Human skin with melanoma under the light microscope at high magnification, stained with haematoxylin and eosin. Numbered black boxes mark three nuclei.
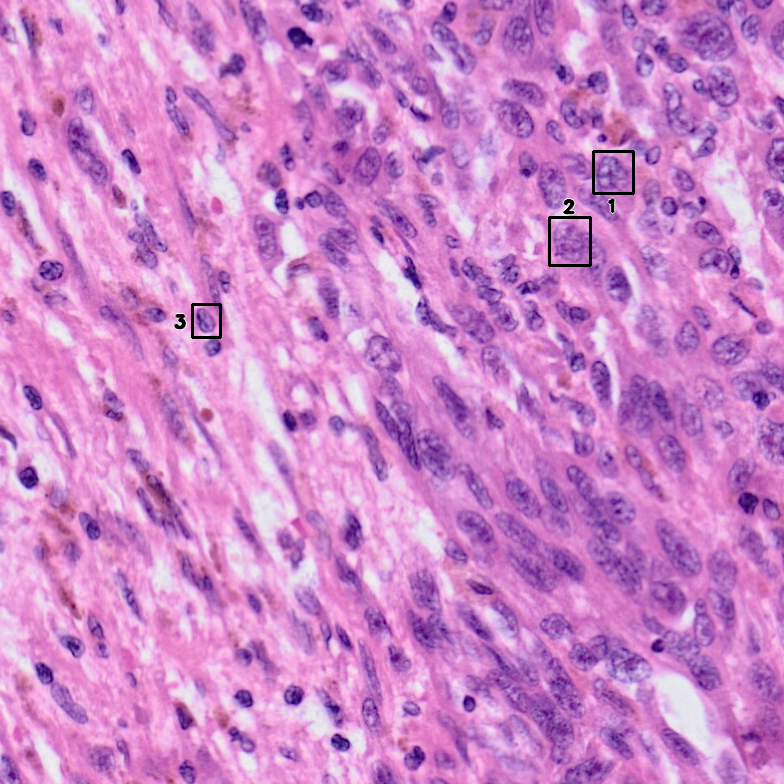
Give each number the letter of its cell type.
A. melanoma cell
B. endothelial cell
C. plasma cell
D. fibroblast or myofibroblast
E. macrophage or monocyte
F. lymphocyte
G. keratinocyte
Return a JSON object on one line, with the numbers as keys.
{"1": "A", "2": "A", "3": "F"}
